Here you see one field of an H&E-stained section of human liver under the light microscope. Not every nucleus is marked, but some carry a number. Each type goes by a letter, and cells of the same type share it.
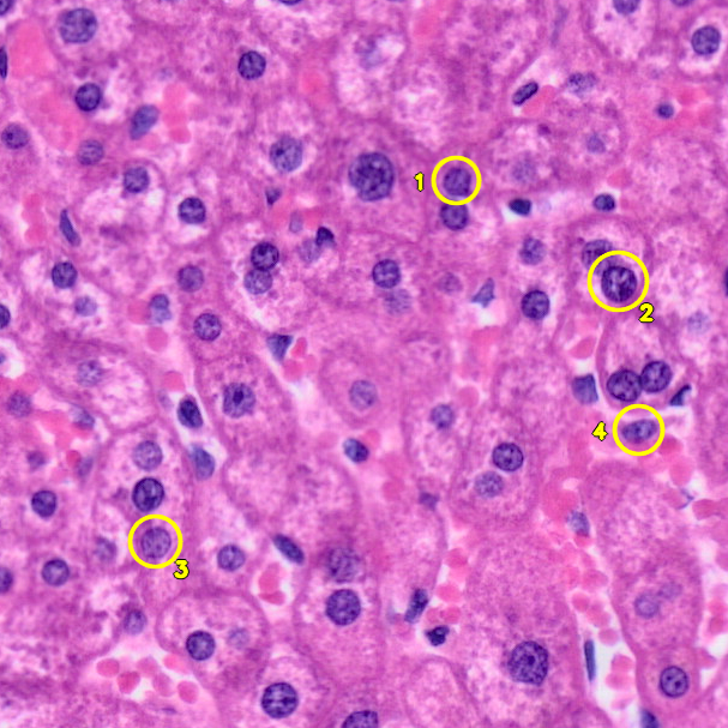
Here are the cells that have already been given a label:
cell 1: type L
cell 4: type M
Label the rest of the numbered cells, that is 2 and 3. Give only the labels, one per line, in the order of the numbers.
type L
type L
